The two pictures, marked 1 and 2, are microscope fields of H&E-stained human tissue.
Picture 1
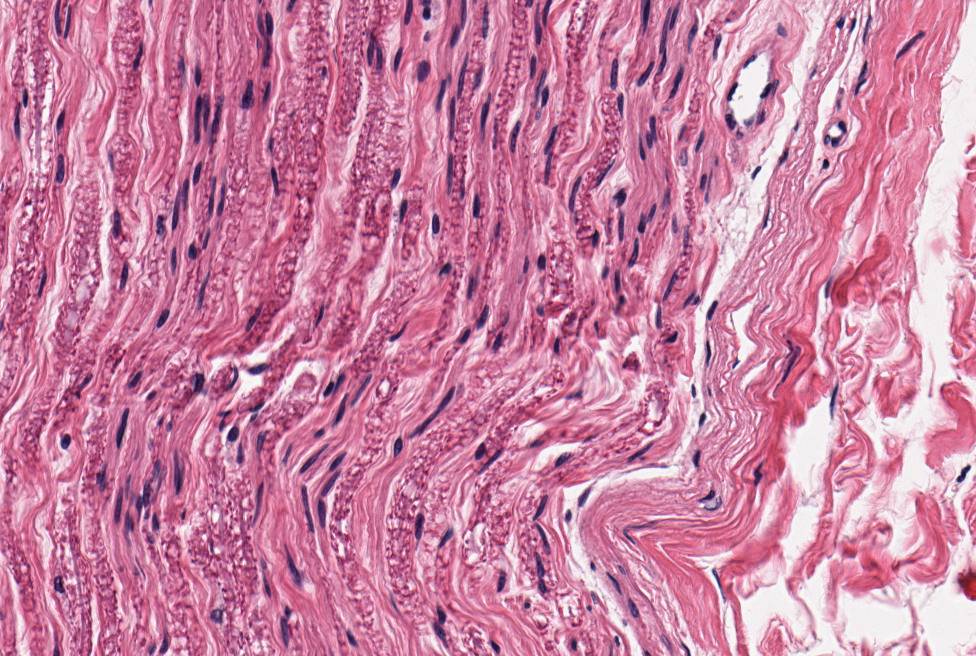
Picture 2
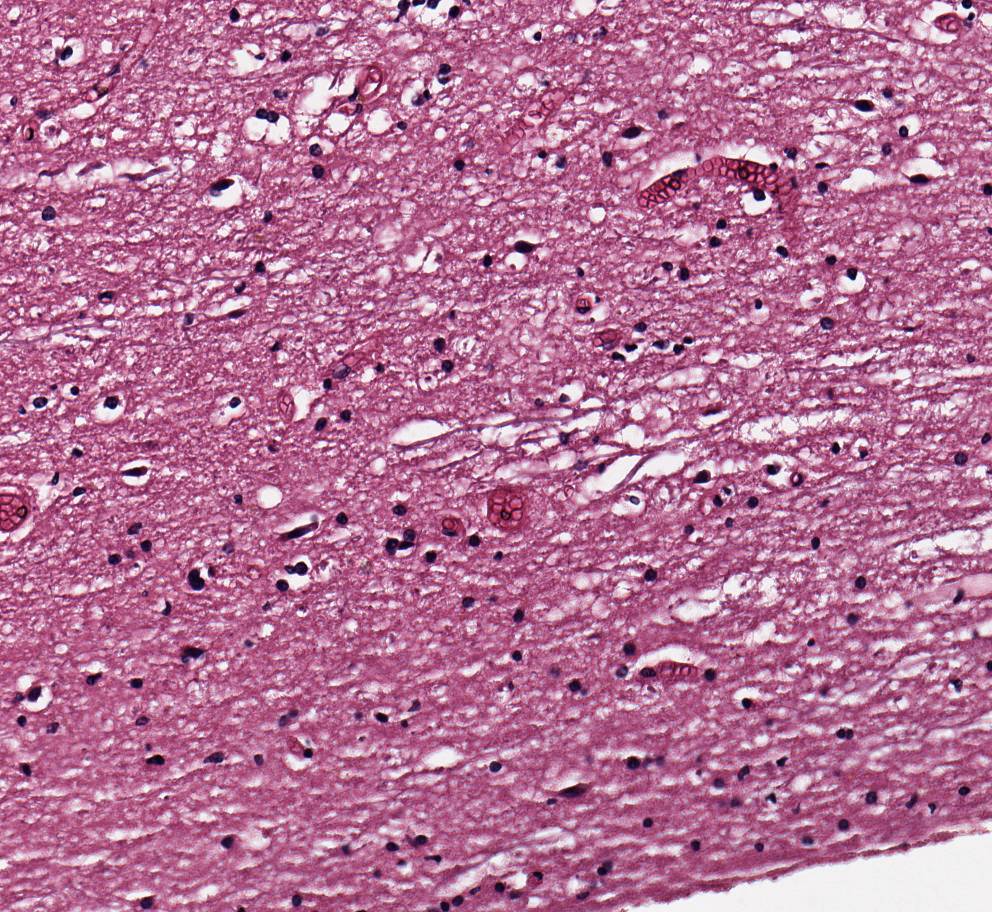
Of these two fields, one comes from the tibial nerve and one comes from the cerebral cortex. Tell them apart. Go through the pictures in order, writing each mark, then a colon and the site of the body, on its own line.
1: tibial nerve
2: cerebral cortex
